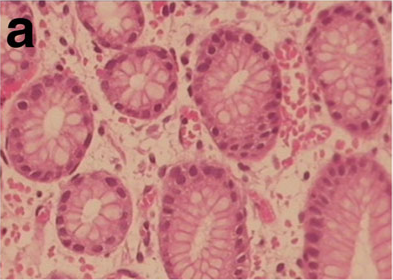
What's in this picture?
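Round glands cut in cross-section are each lined by a single layer of tall columnar cells with basal dark purple nuclei and pale cytoplasm arranged around a small central lumen. Between the glands lies loose connective tissue with scattered small cells, some with pink cytoplasm. The glands are evenly spaced with stroma between them, the pattern of the mucosa with its lamina propria, here infiltrated by inflammatory cells.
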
